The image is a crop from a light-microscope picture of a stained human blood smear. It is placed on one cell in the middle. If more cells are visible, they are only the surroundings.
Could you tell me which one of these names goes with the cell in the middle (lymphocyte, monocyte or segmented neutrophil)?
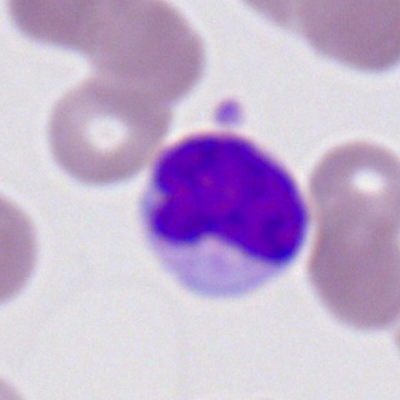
lymphocyte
